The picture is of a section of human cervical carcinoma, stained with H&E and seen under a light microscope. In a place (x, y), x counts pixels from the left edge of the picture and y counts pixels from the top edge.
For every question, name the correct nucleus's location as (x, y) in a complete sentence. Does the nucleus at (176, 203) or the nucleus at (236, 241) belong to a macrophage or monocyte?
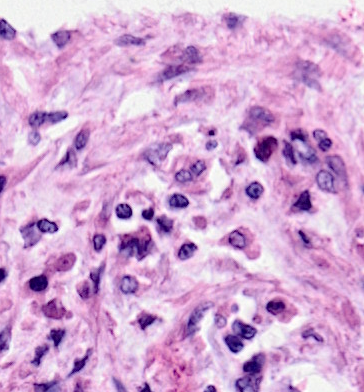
The nucleus whose position is (236, 241) belongs to a macrophage or monocyte.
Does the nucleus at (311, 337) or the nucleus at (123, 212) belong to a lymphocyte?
Assigned to a lymphocyte is the nucleus located at (123, 212).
